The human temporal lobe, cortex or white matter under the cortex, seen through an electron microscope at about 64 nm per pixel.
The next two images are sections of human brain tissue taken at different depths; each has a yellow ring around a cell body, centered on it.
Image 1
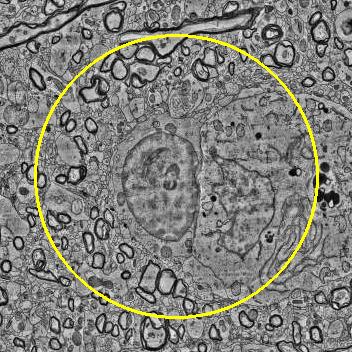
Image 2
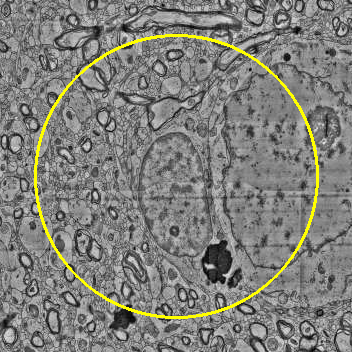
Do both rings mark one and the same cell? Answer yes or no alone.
no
